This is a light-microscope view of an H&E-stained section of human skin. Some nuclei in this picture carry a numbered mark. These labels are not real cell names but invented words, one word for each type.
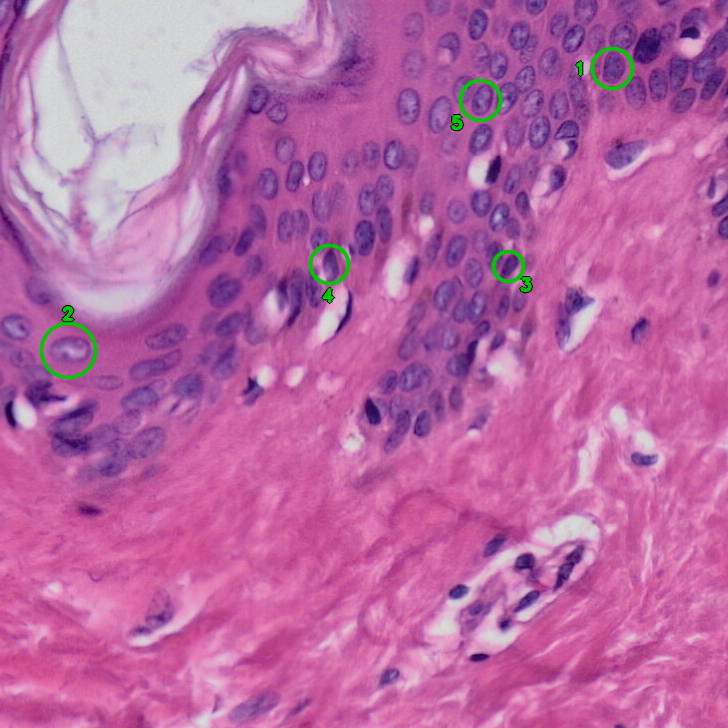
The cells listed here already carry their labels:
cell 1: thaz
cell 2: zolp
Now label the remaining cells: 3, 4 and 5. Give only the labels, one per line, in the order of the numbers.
thaz
thaz
zolp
